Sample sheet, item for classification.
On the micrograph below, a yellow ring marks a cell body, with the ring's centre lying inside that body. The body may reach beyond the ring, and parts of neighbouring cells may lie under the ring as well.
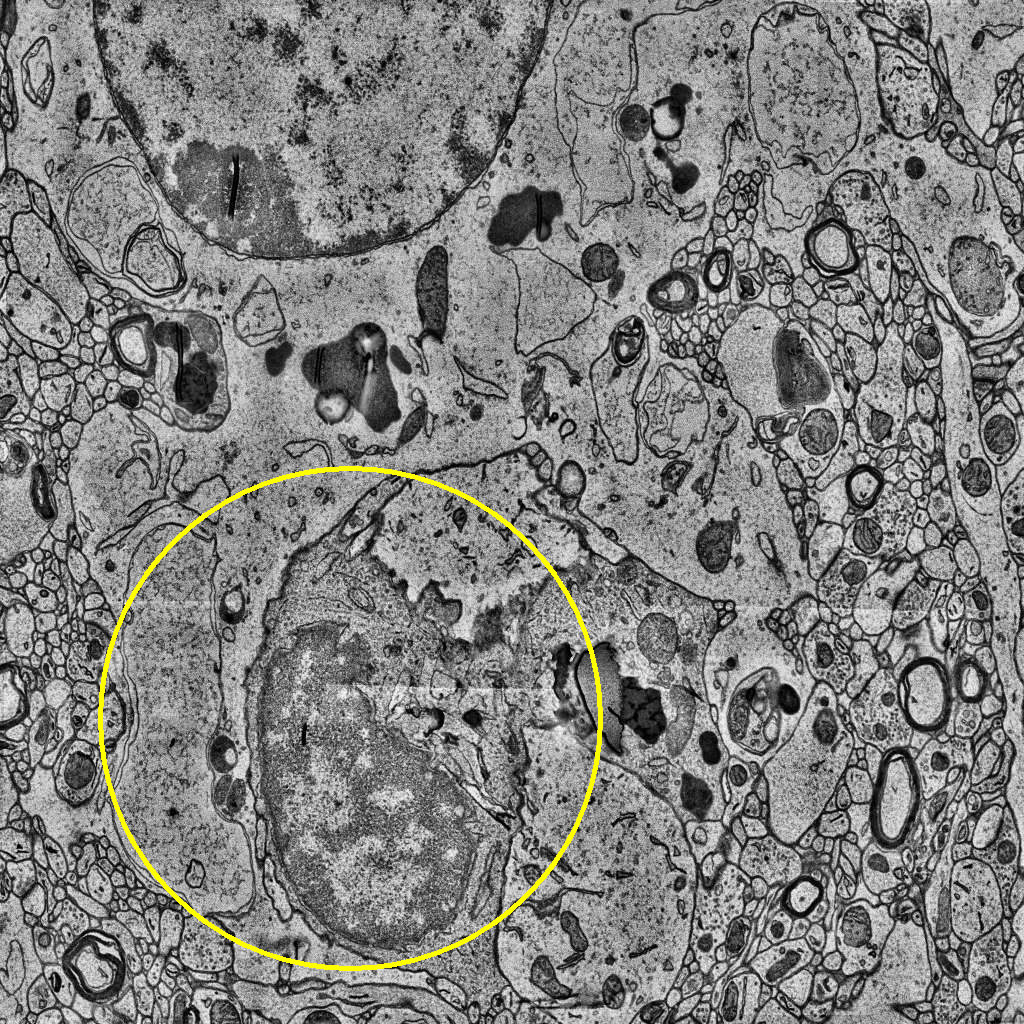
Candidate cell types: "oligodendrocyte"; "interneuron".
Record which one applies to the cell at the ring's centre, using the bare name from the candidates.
oligodendrocyte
